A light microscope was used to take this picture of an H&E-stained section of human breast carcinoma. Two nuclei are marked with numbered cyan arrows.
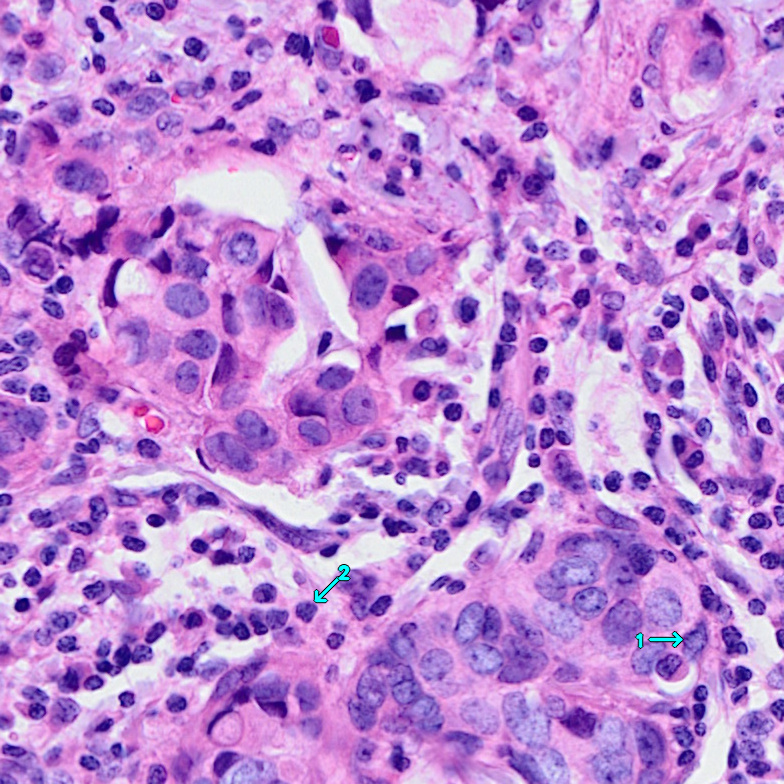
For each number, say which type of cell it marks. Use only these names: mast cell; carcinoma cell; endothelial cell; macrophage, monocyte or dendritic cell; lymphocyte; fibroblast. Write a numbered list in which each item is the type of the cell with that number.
1. carcinoma cell
2. lymphocyte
